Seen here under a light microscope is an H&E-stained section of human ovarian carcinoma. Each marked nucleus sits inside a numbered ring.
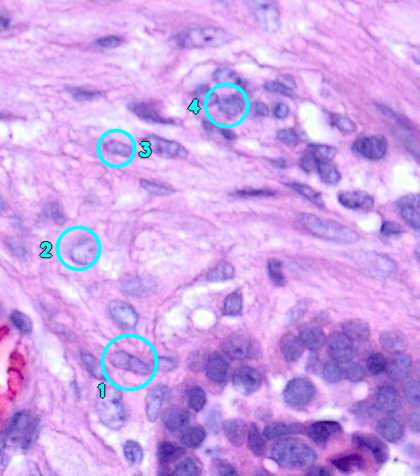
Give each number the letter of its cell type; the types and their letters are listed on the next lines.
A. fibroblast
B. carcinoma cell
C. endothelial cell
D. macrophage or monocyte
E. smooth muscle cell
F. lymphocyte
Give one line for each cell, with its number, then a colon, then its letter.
1: A
2: A
3: A
4: C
